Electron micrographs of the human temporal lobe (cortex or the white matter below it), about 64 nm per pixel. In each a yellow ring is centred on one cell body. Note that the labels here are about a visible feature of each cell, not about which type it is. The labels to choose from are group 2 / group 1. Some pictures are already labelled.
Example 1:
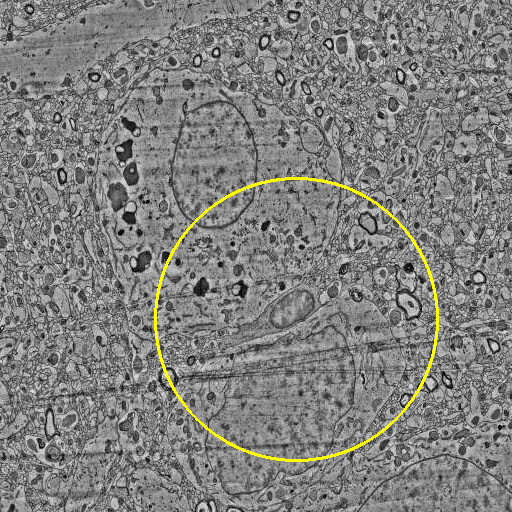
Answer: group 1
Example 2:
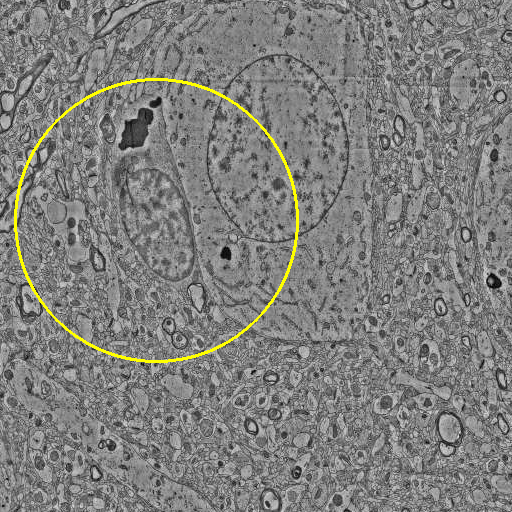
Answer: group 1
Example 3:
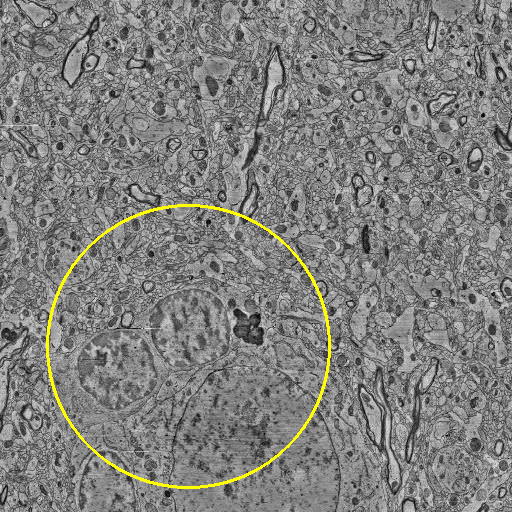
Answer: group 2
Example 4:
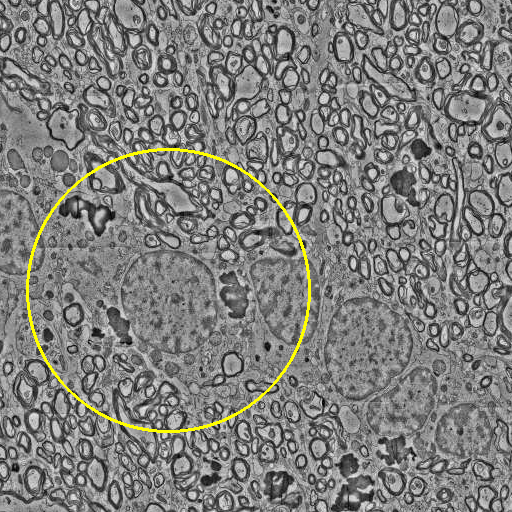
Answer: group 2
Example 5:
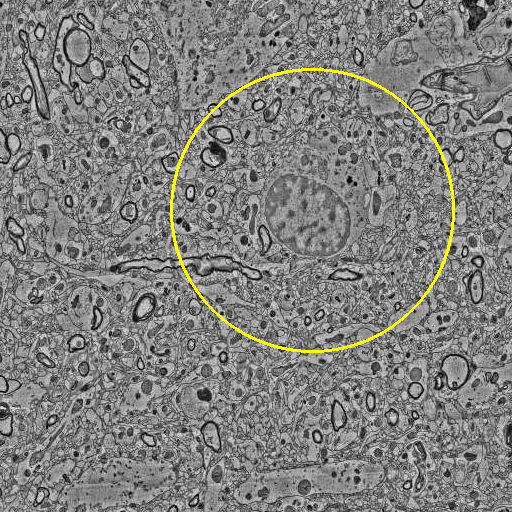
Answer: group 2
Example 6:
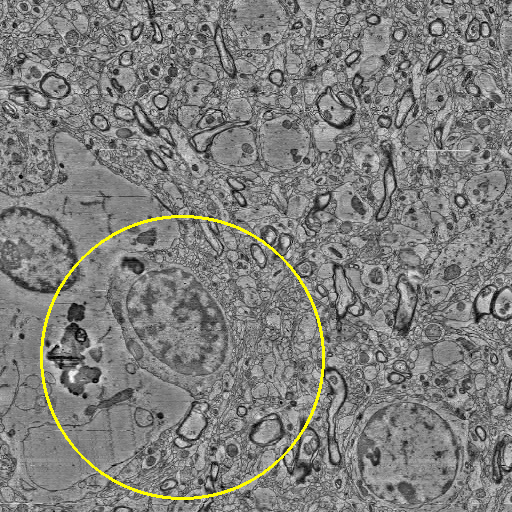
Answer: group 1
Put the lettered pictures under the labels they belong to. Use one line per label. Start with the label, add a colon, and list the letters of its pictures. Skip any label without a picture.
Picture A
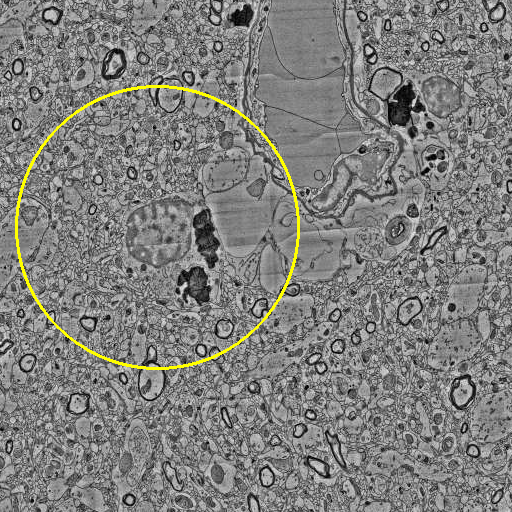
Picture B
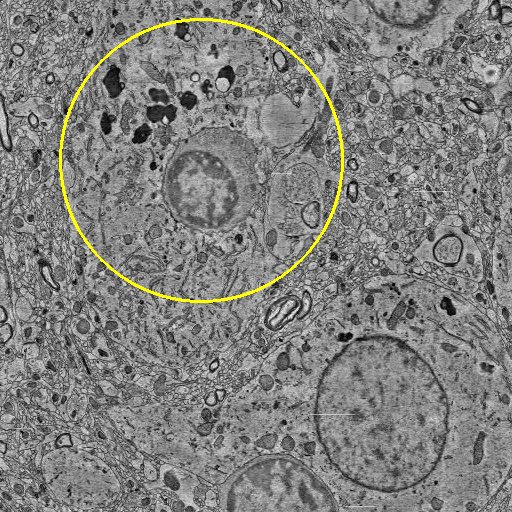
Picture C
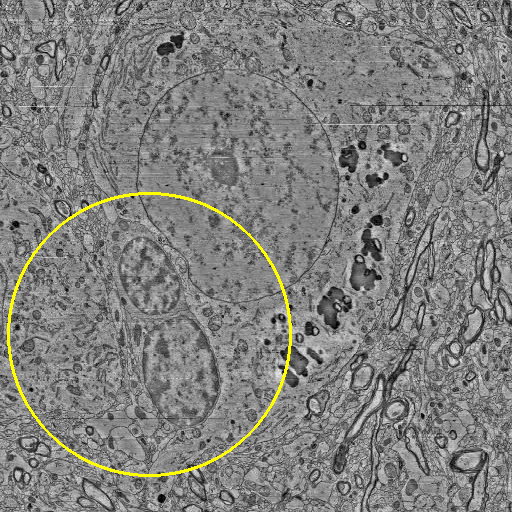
group 2: A, B
group 1: C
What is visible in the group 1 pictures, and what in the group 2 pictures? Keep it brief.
group 1: clearly elongated nuclei; group 2: round or nearly round nuclei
